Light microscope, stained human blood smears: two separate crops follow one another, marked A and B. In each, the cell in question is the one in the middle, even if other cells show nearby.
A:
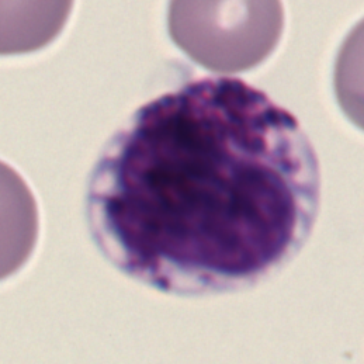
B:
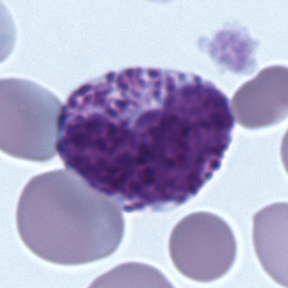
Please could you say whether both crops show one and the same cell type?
yes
